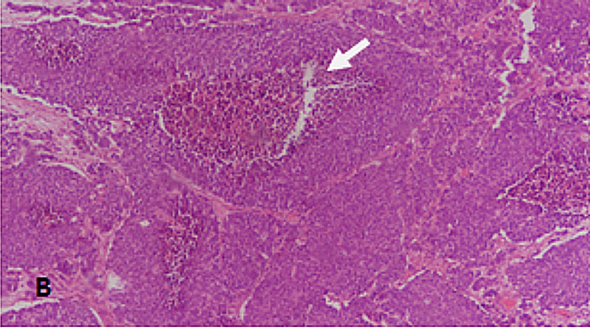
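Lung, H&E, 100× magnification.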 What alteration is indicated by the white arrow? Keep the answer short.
necrosis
